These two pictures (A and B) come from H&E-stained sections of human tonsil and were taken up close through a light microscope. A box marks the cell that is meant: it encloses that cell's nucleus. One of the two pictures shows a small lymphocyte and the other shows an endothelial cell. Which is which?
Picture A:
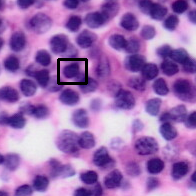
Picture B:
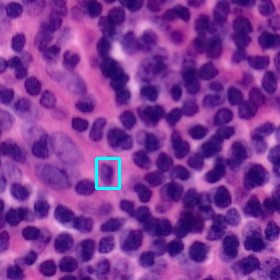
A: small lymphocyte
B: endothelial cell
